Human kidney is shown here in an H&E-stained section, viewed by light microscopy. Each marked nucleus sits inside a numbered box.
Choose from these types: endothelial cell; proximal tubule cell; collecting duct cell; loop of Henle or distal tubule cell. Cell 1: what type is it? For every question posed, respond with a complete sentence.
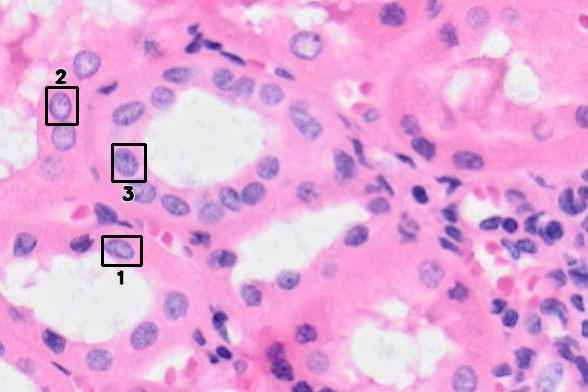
Number 1 among the marked cells is a loop of Henle or distal tubule cell.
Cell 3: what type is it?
The nucleus labelled 3 belongs to a collecting duct cell.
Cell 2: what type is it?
Cell 2 should be recorded as a proximal tubule cell.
